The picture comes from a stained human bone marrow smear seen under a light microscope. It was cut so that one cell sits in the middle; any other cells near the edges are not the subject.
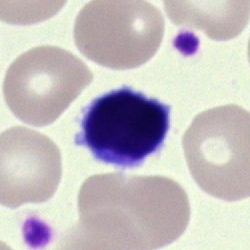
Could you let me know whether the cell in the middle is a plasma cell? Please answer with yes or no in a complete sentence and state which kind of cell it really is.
No, the central cell is reported as a lymphocyte rather than as a plasma cell.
